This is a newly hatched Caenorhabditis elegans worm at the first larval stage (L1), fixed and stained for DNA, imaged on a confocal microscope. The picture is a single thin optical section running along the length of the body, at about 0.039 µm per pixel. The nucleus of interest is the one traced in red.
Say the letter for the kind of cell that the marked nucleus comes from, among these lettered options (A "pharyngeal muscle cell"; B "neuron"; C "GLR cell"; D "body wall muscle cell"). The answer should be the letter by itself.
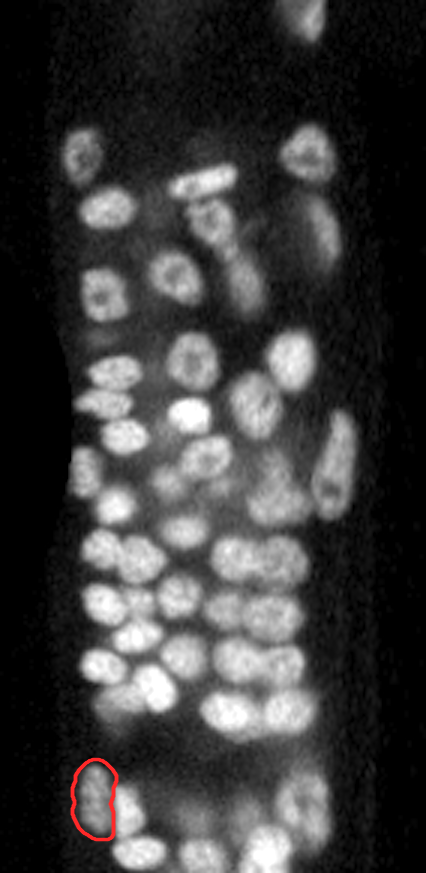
D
